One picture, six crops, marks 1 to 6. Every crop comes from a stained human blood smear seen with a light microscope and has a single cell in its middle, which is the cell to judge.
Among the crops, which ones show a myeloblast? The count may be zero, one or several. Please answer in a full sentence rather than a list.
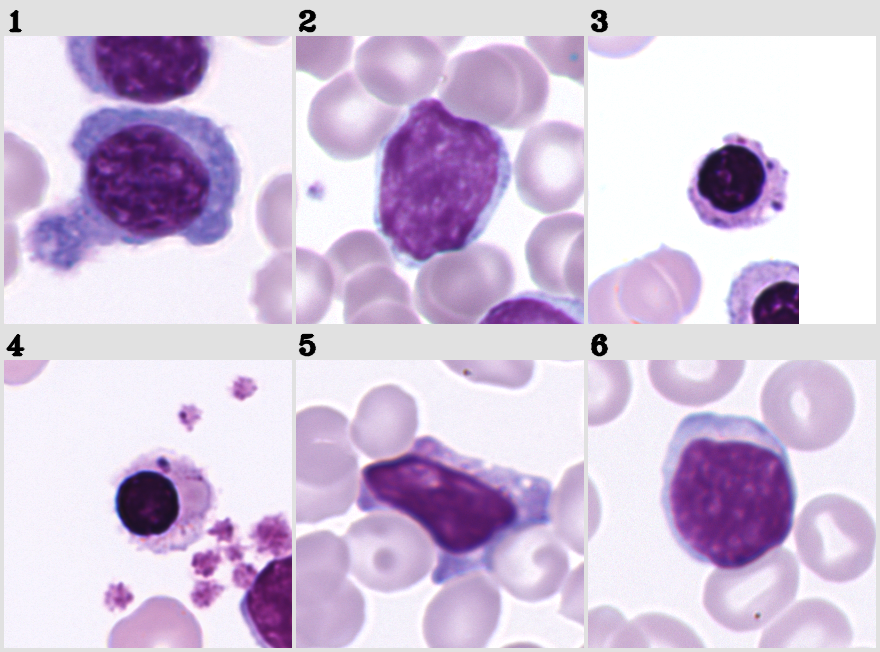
None of the crops has a myeloblast in the middle.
